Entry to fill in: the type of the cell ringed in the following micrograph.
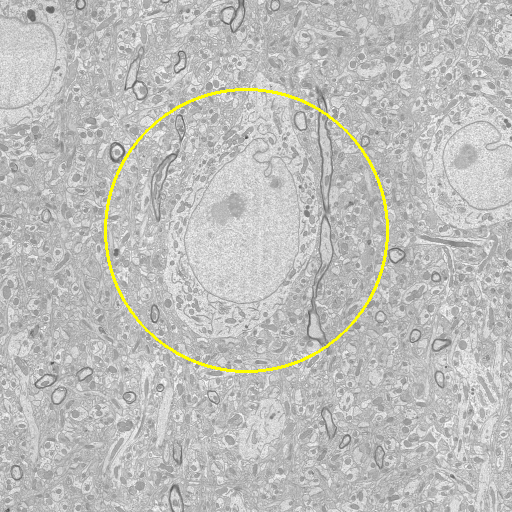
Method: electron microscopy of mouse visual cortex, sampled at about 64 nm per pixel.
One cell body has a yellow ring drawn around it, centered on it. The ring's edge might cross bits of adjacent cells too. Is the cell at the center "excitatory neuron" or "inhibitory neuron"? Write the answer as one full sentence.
This entry names an inhibitory neuron as the cell whose body lies at the ring's center.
